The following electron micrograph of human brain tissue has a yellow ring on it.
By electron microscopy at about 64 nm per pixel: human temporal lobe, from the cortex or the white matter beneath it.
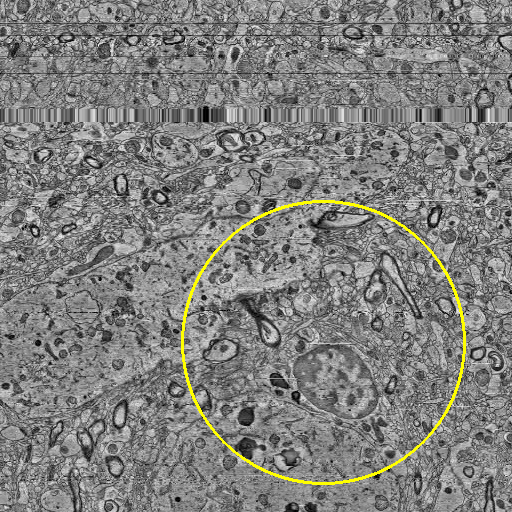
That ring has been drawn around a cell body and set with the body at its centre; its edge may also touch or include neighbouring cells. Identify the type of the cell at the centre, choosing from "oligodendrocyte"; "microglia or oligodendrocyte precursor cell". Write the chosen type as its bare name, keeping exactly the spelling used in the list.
microglia or oligodendrocyte precursor cell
